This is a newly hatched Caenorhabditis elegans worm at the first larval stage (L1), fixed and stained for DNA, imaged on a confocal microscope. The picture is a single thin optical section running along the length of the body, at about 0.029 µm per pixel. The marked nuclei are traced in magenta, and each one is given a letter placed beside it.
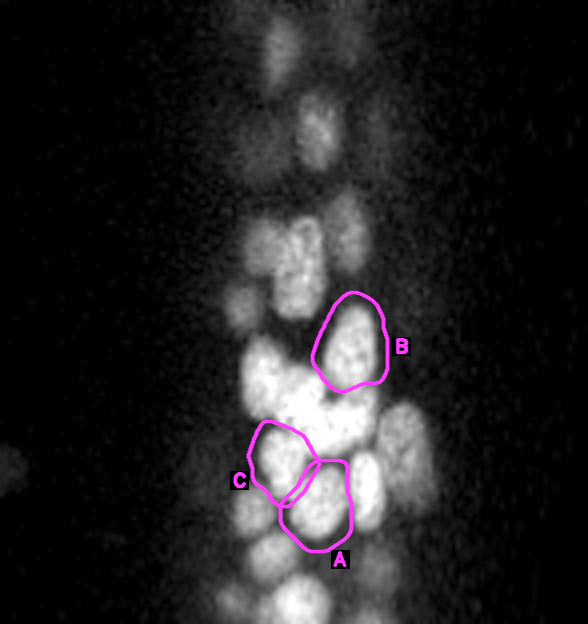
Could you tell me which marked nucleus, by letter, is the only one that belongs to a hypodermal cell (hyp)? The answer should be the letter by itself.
B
